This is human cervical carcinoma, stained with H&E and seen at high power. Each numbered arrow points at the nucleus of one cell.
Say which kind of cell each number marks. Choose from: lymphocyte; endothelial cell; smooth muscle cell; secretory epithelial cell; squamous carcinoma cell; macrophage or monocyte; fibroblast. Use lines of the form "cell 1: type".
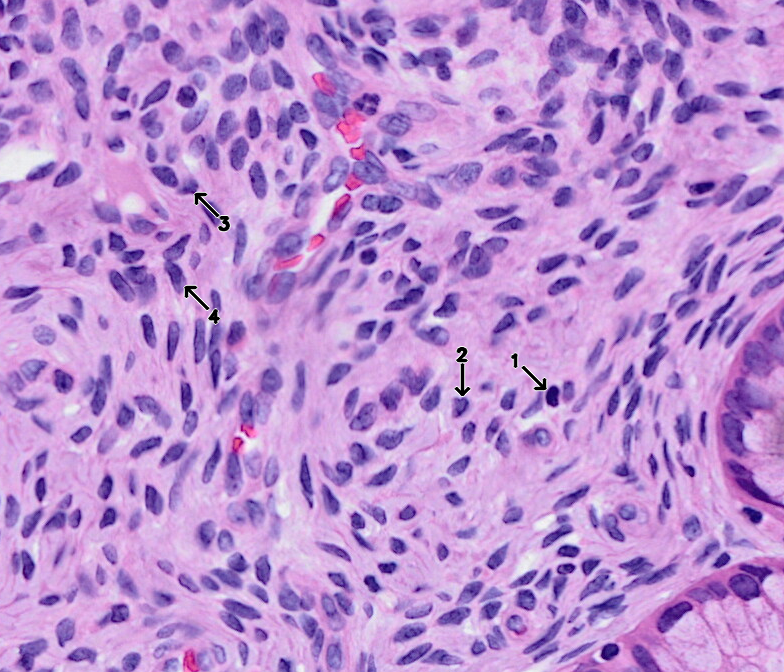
cell 1: lymphocyte
cell 2: fibroblast
cell 3: fibroblast
cell 4: fibroblast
